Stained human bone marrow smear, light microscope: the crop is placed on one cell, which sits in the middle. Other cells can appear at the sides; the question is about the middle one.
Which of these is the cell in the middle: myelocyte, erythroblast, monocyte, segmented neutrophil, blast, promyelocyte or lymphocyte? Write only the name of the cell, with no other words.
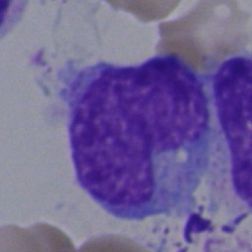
monocyte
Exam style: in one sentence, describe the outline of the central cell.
Along the periphery, ragged stretches or projections make the outline irregular.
